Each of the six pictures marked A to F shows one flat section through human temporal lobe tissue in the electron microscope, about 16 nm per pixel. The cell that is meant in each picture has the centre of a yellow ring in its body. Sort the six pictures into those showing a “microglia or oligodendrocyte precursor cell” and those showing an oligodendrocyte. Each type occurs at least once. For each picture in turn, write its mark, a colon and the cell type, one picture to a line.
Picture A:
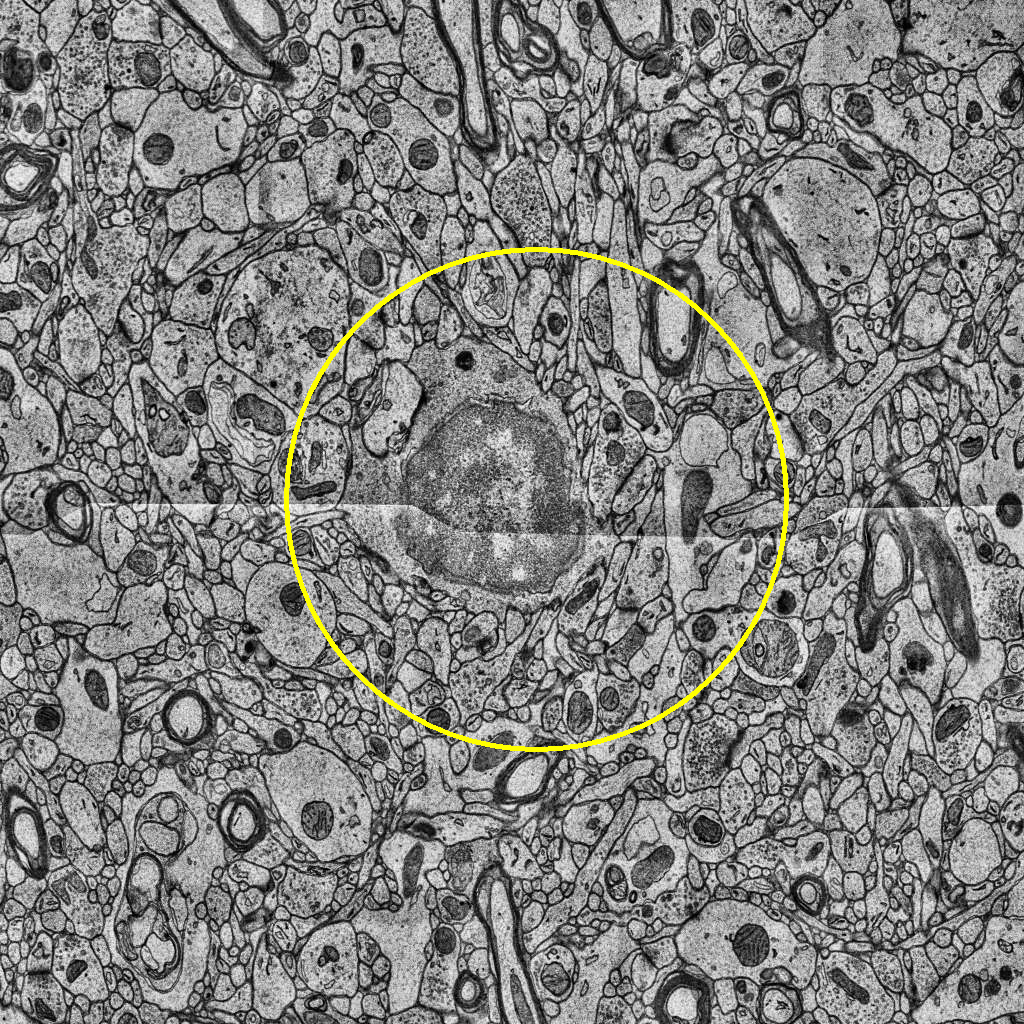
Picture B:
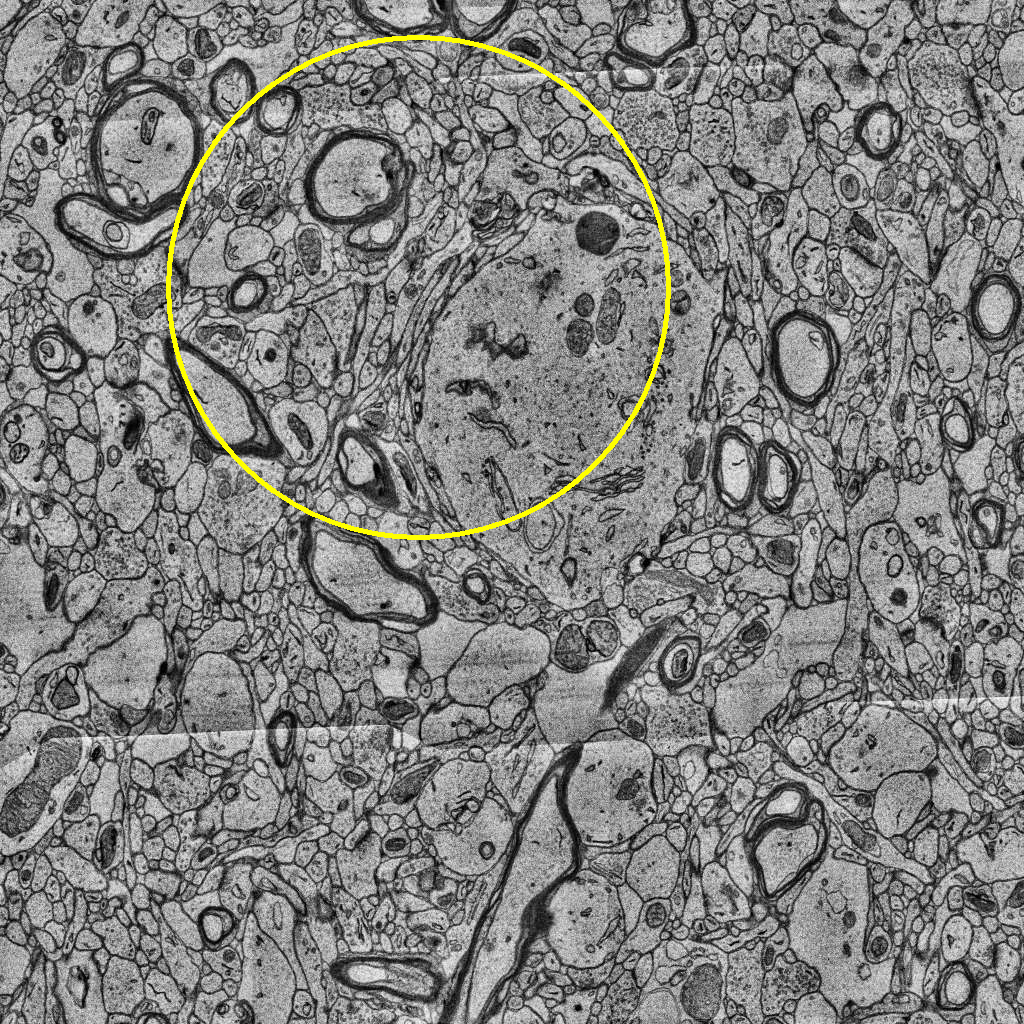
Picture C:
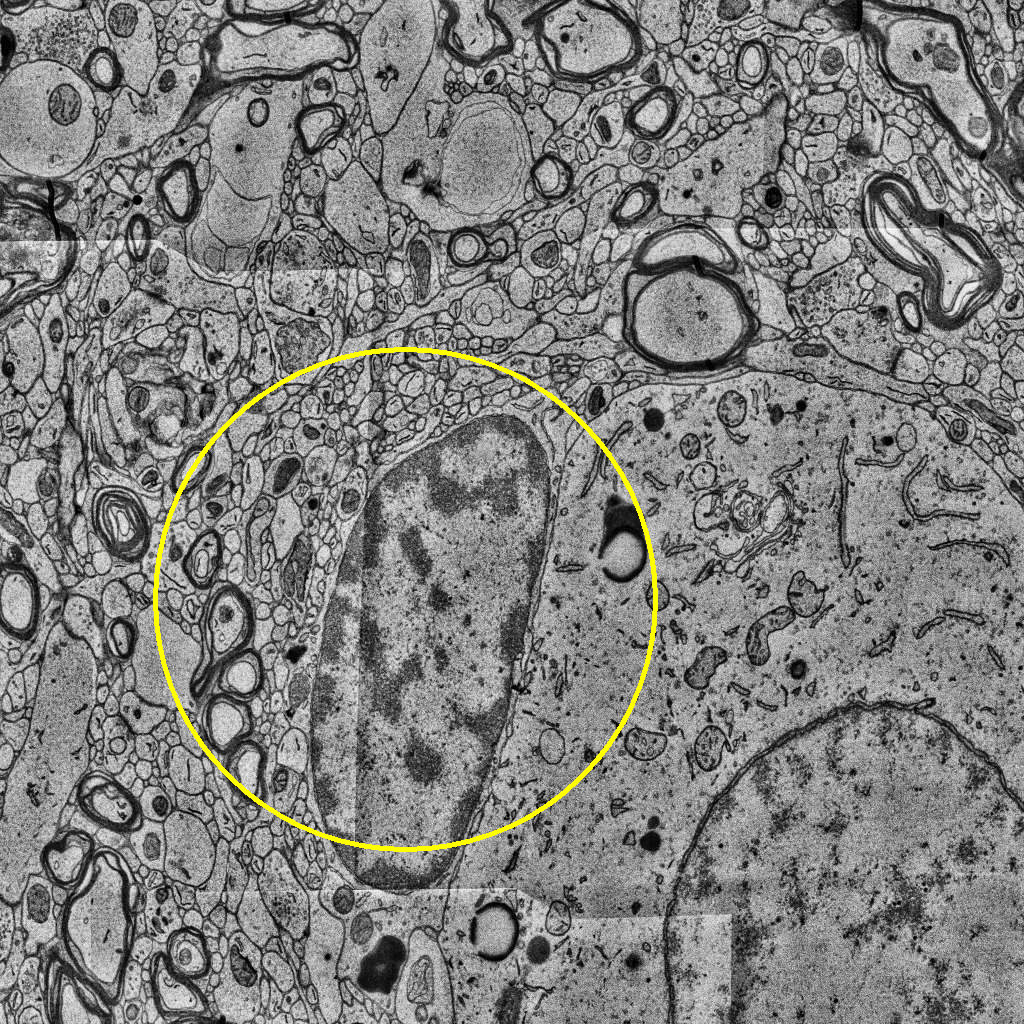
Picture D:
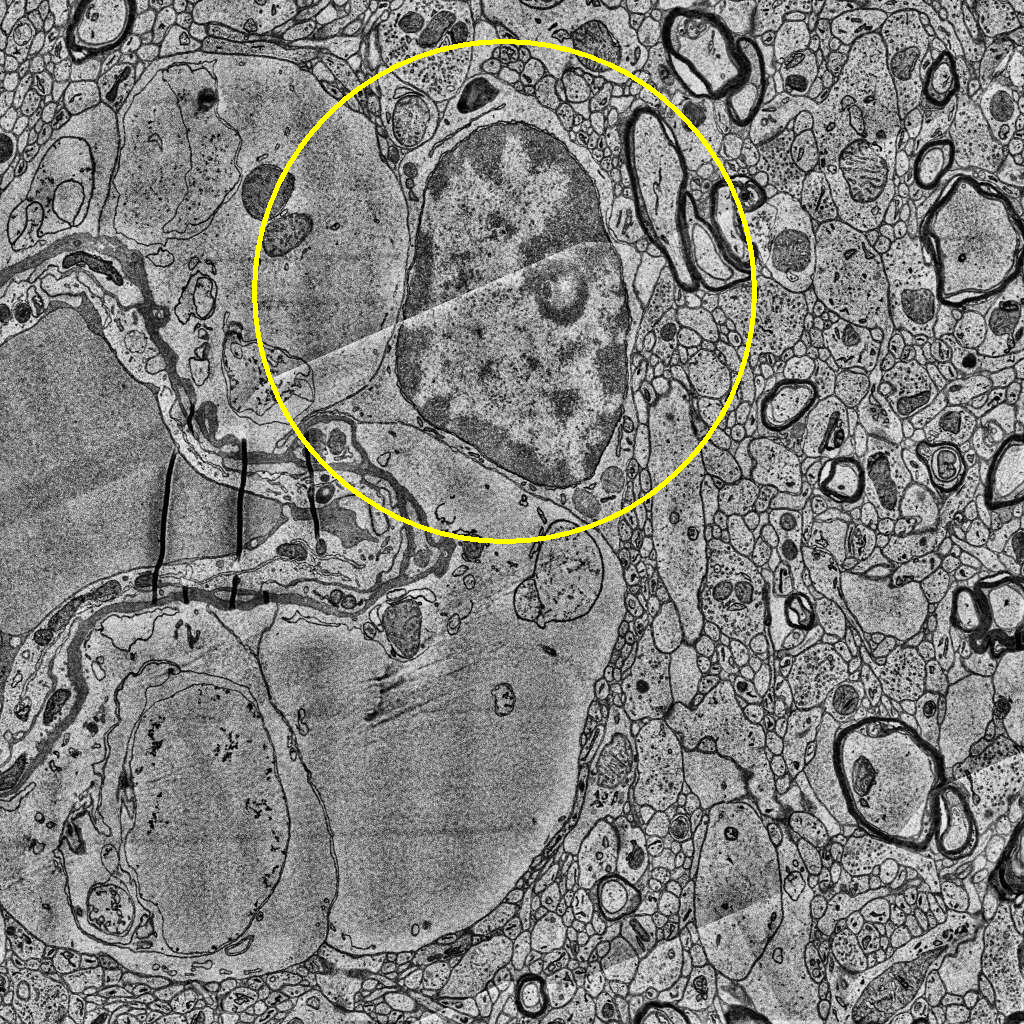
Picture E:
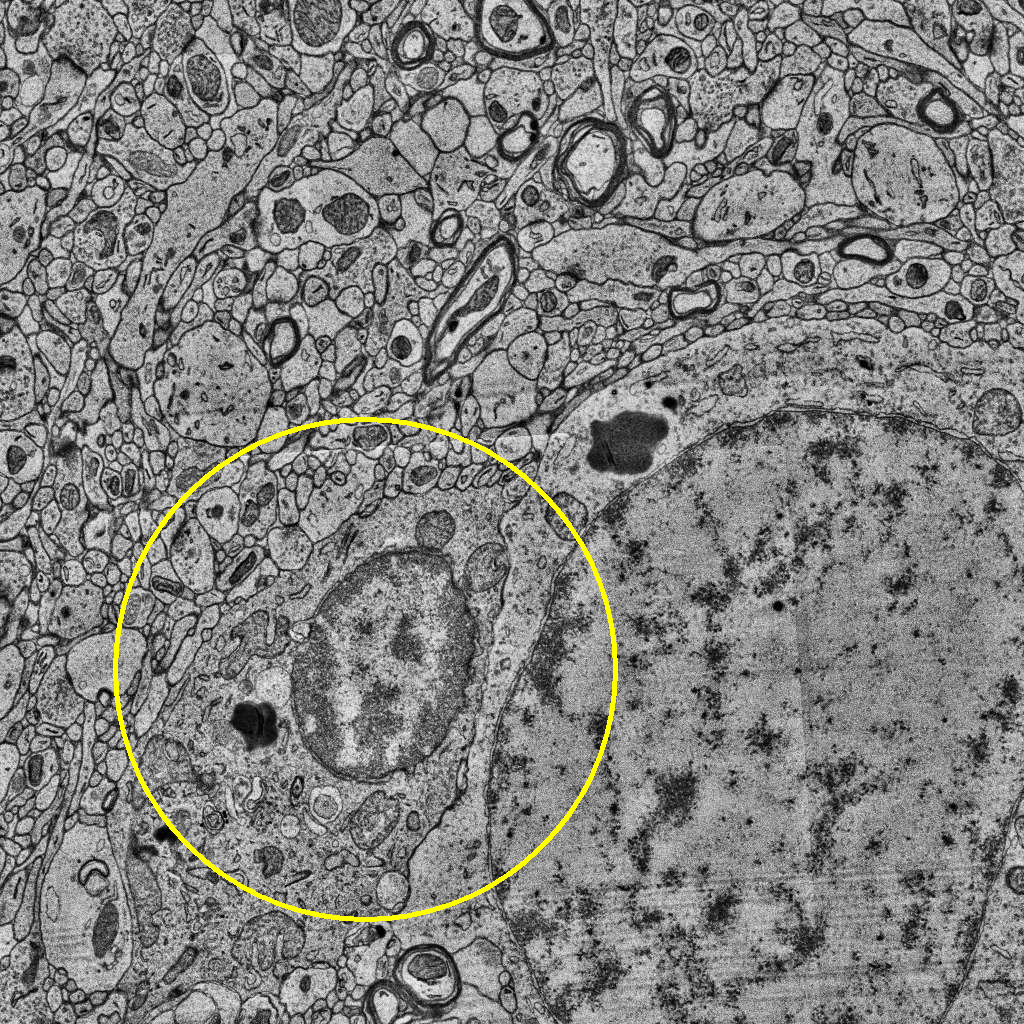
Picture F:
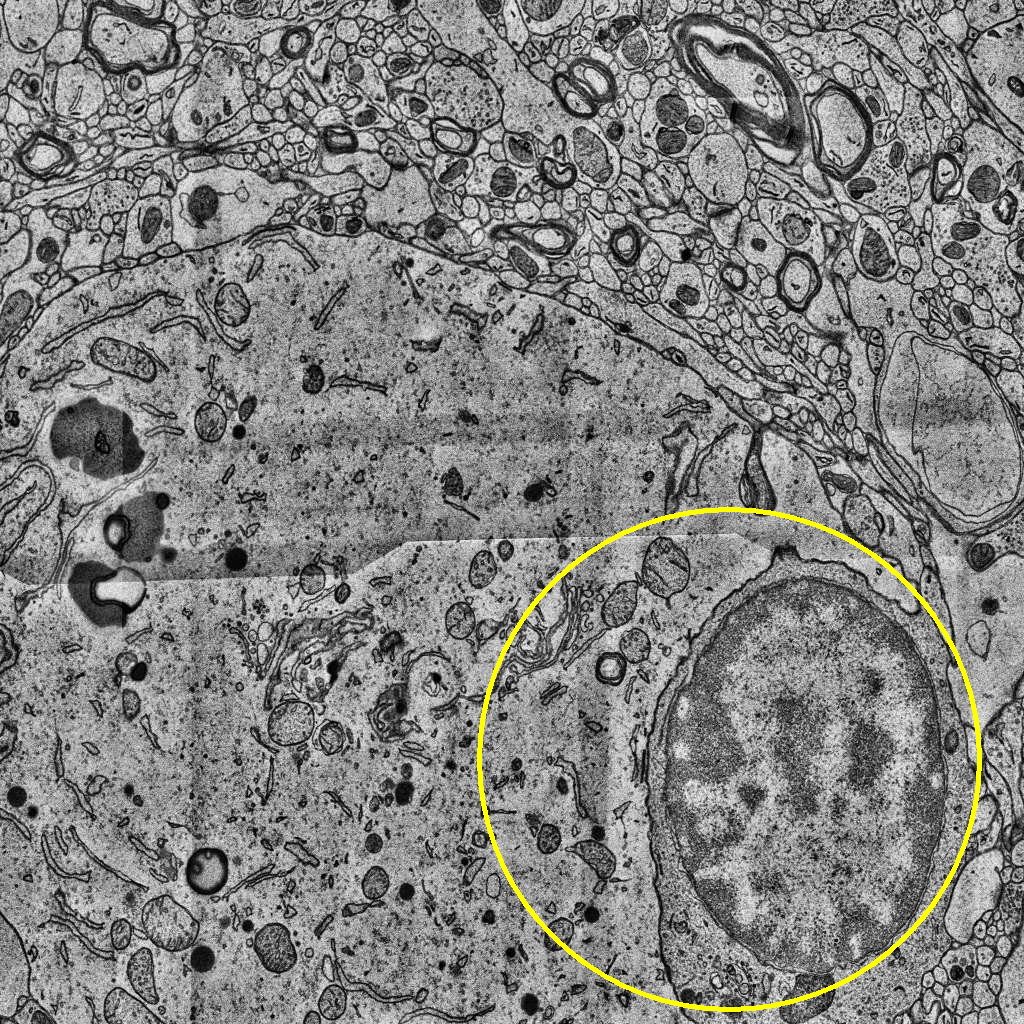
A: oligodendrocyte
B: microglia or oligodendrocyte precursor cell
C: microglia or oligodendrocyte precursor cell
D: microglia or oligodendrocyte precursor cell
E: oligodendrocyte
F: oligodendrocyte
